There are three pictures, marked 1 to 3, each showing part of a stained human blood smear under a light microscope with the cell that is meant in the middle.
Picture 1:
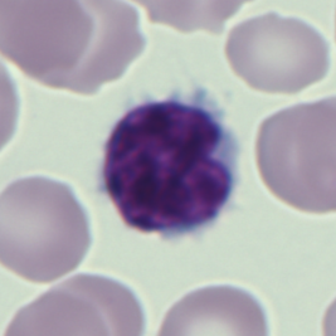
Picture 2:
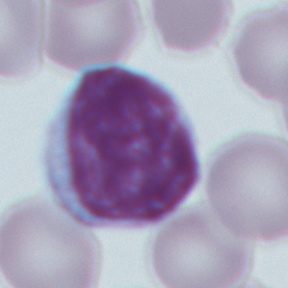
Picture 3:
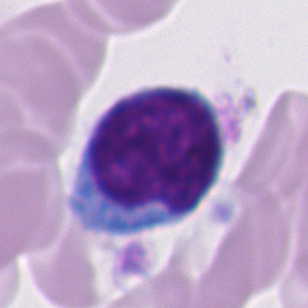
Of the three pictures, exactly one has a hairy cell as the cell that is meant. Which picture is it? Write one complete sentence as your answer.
Picture 1 shows the hairy cell.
